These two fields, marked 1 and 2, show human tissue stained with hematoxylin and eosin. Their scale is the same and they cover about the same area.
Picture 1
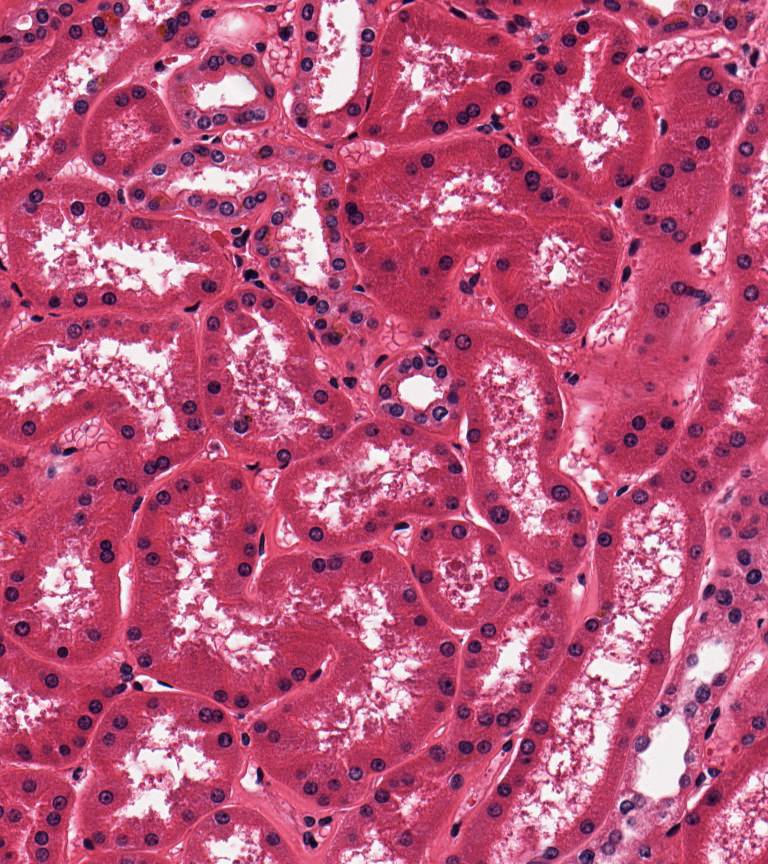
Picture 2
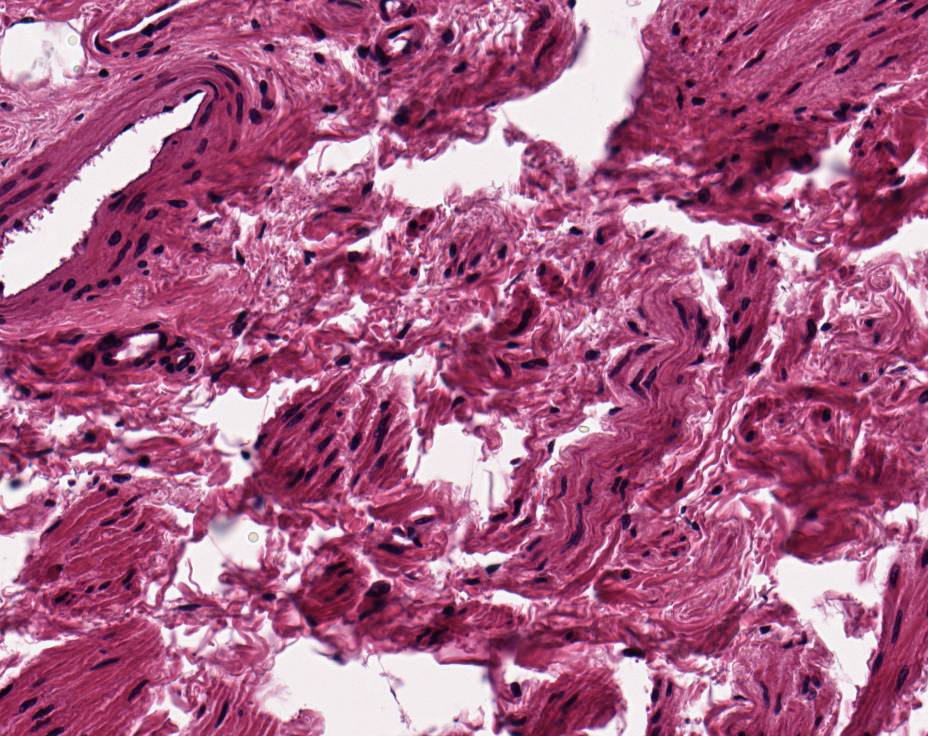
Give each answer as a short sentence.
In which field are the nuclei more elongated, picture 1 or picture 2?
Longer, more slender nuclei lie in picture 2.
